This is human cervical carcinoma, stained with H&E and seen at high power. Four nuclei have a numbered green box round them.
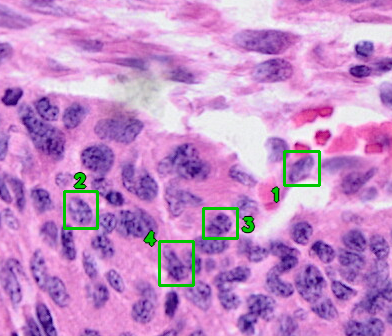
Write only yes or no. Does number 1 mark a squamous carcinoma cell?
no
